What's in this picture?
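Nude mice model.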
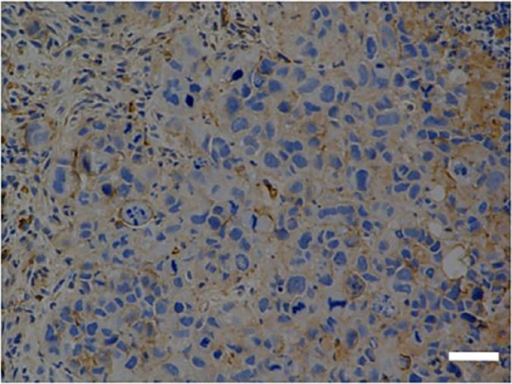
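This section of tumor tissue shows crowded abnormal cells whose large blue nuclei vary in size and shape. A brown stain lies in fine granules and streaks along the cytoplasm and between the cells, scattered over much of the field, and is denser in some patches than in others.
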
